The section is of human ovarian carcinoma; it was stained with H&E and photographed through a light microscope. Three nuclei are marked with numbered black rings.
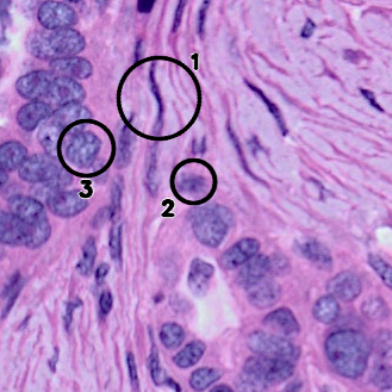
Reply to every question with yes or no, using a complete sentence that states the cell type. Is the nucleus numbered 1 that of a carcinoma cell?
No, the cell with number 1 is not a carcinoma cell but a fibroblast.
